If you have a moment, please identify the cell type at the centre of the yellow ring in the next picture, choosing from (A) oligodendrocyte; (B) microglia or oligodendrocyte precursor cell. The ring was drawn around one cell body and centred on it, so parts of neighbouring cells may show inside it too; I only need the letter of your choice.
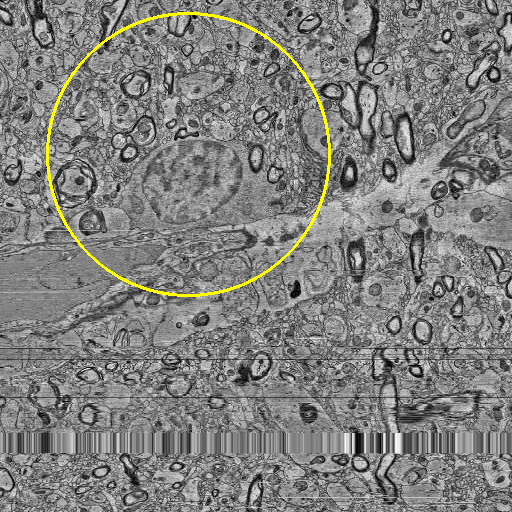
A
